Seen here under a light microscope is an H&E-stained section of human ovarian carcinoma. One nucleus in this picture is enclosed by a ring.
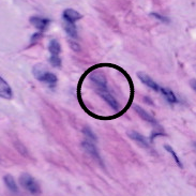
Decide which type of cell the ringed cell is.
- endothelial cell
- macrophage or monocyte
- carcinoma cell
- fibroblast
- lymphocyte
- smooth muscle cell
smooth muscle cell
